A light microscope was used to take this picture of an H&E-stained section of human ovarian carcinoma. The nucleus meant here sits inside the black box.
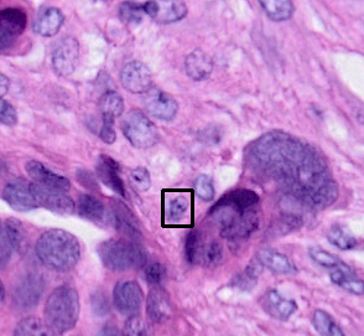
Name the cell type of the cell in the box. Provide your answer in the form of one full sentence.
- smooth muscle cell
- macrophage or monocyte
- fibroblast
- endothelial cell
Microscopically, the cell in the box is categorized as a macrophage or monocyte.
